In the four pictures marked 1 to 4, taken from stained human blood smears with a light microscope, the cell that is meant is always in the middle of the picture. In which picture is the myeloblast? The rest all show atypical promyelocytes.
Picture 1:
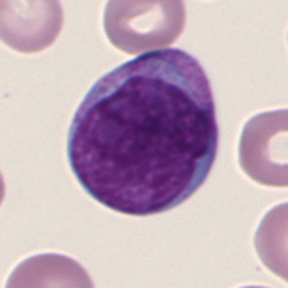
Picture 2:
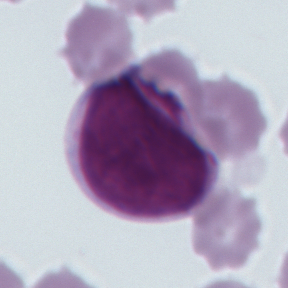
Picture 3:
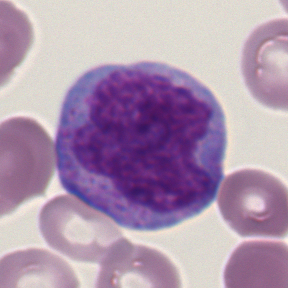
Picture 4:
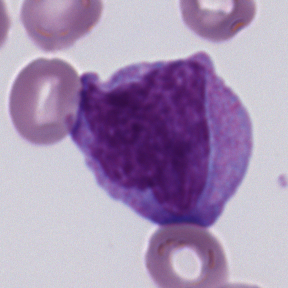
2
